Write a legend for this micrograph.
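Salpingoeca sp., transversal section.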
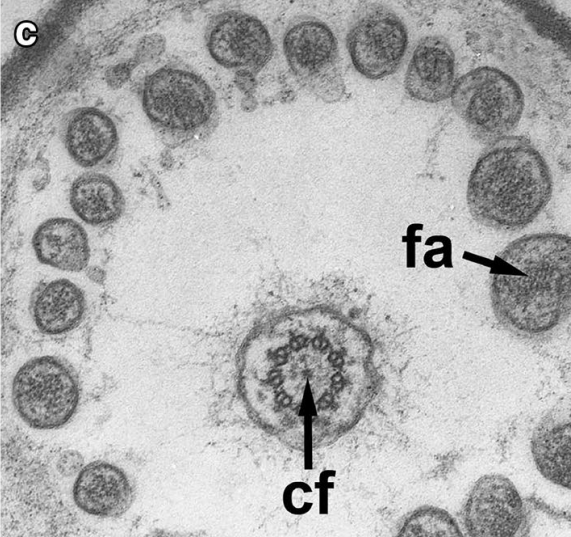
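This thin section cuts across the flagellar transition zone and the microvilli of the collar of a collared flagellate. In the centre, the flagellum appears as a round membrane-bound profile containing a ring of microtubule doublets around a central dot. Fine fuzzy filaments radiate from its surface into the surrounding pale space. A ring of small round microvilli profiles surrounds the flagellum at a distance. Each microvillus is bounded by a membrane and has a dense granular core.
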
